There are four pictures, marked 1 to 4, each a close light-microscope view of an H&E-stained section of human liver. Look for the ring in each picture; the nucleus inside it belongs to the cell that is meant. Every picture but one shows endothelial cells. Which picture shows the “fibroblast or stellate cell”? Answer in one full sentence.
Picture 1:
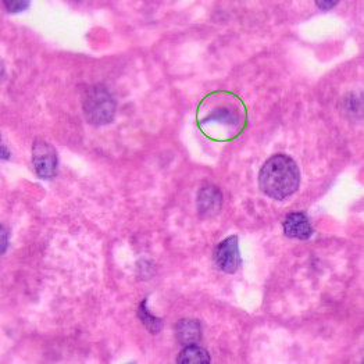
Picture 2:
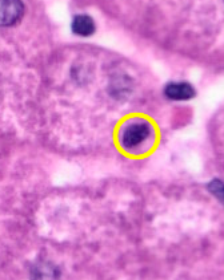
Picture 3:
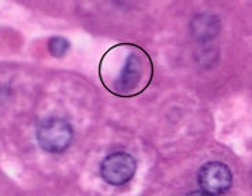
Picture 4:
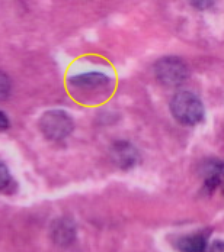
It is picture 2 that shows the “fibroblast or stellate cell”.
